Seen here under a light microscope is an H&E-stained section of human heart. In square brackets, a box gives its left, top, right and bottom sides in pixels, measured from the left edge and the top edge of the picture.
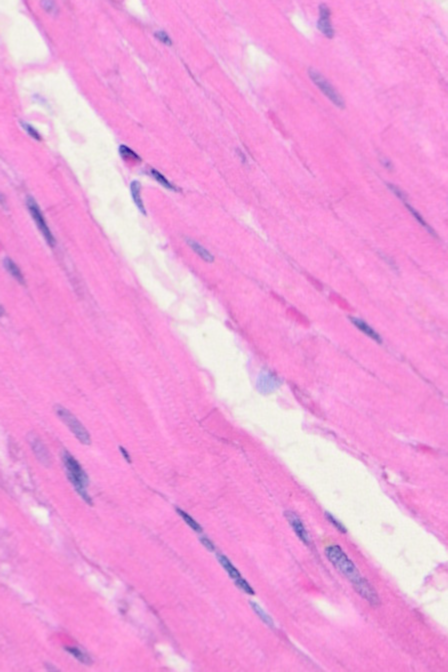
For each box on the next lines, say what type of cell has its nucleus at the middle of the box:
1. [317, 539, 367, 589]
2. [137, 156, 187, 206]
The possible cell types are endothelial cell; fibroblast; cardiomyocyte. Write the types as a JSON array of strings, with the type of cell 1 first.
["cardiomyocyte", "endothelial cell"]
